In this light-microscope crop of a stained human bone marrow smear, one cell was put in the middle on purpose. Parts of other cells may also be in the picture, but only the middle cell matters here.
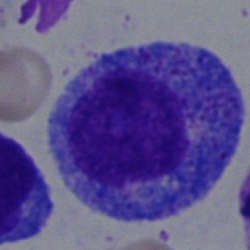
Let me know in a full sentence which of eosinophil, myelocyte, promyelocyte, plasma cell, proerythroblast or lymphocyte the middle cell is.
Within this crop, a promyelocyte occupies the central position.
